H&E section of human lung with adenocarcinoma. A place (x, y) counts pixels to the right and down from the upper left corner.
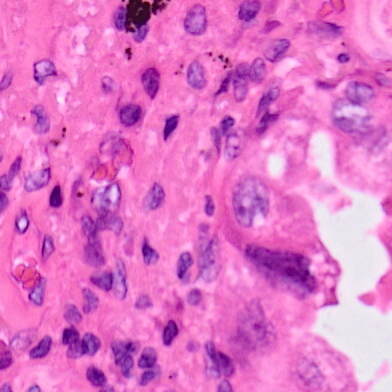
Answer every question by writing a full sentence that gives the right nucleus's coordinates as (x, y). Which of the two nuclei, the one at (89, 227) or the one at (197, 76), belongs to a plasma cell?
Of the two nuclei, the one sitting at (89, 227) belongs to a plasma cell.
